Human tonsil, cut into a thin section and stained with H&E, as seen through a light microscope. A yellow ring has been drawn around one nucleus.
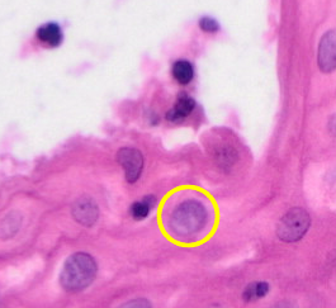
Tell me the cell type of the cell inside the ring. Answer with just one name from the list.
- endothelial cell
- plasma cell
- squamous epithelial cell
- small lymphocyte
squamous epithelial cell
